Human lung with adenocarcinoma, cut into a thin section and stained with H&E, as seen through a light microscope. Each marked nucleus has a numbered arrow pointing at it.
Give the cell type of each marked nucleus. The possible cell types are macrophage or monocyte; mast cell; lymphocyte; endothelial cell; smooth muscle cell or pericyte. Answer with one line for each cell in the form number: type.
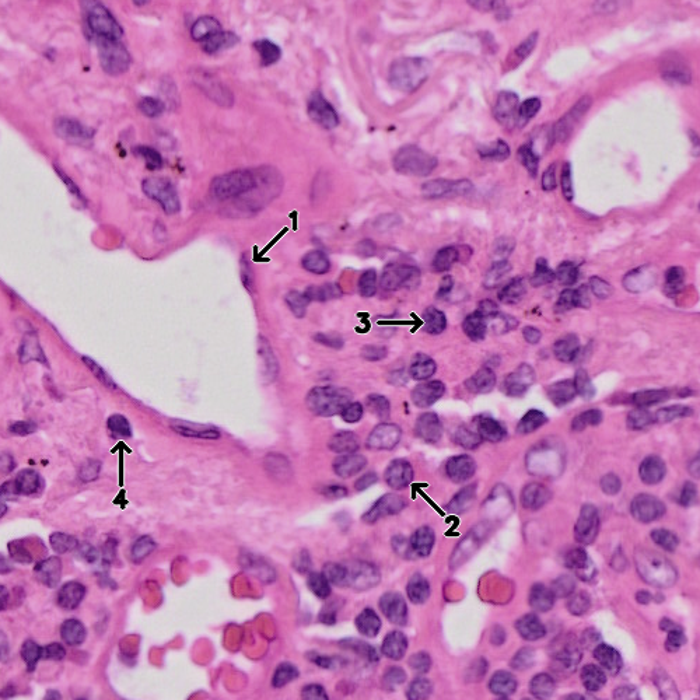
1: endothelial cell
2: mast cell
3: lymphocyte
4: lymphocyte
